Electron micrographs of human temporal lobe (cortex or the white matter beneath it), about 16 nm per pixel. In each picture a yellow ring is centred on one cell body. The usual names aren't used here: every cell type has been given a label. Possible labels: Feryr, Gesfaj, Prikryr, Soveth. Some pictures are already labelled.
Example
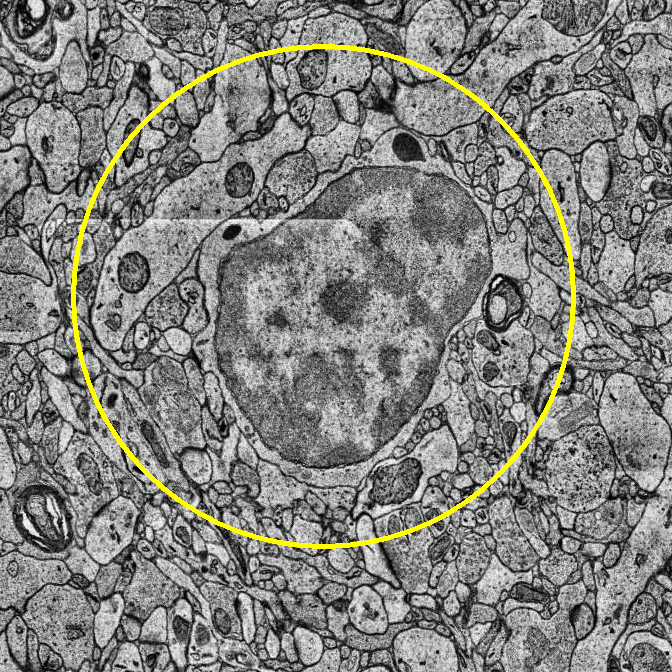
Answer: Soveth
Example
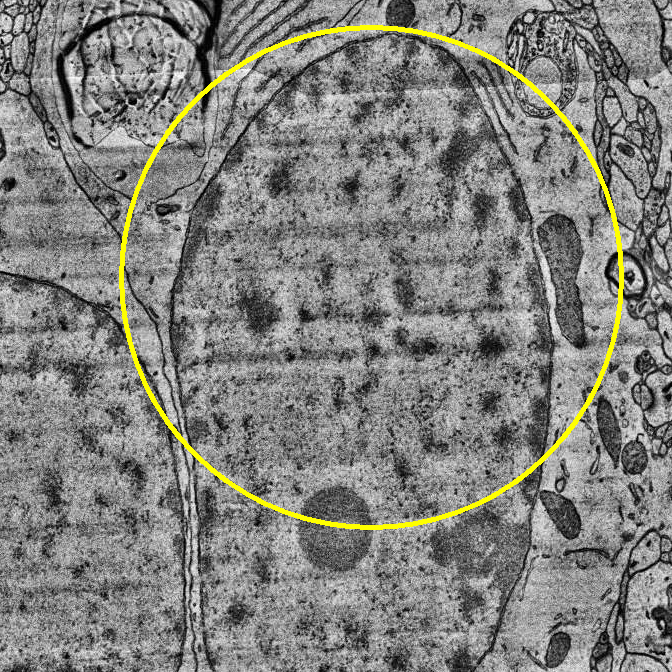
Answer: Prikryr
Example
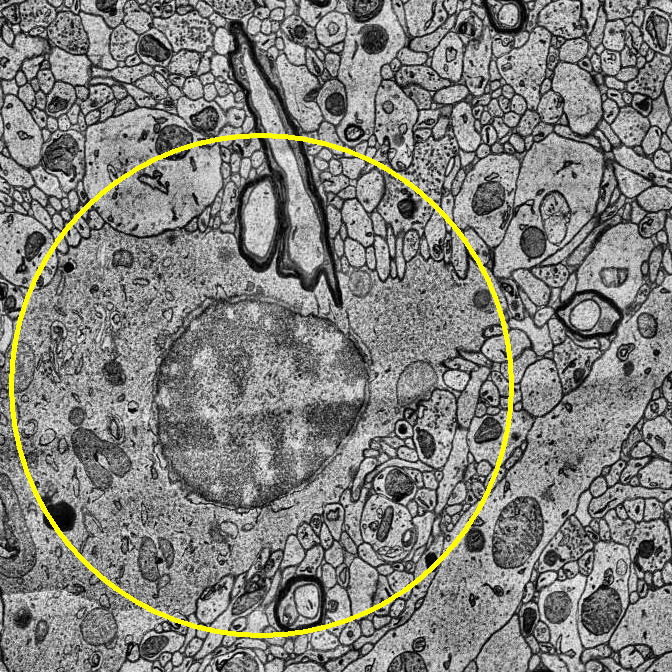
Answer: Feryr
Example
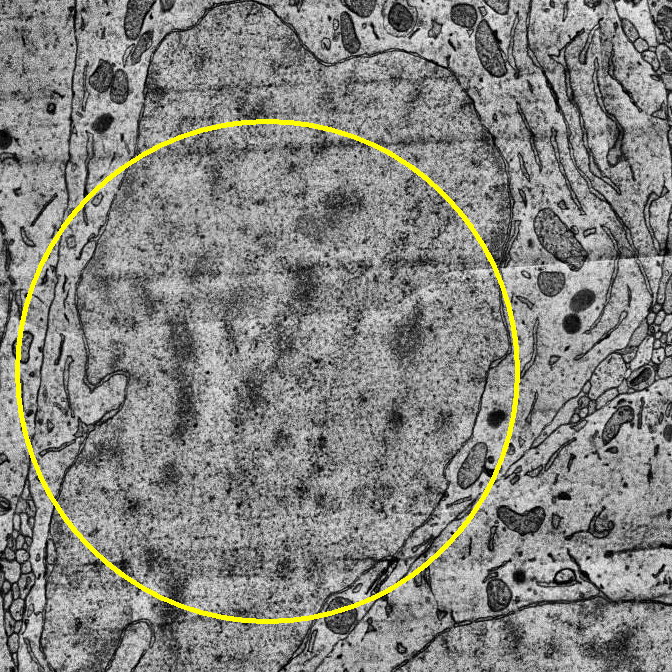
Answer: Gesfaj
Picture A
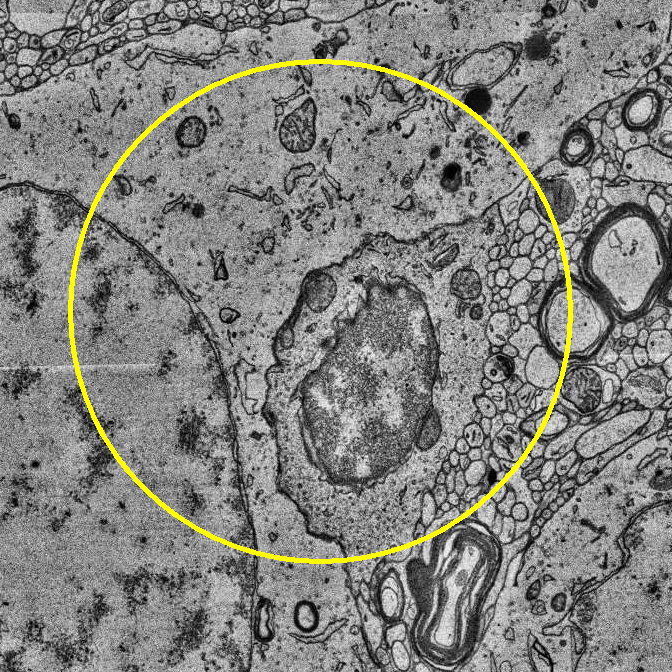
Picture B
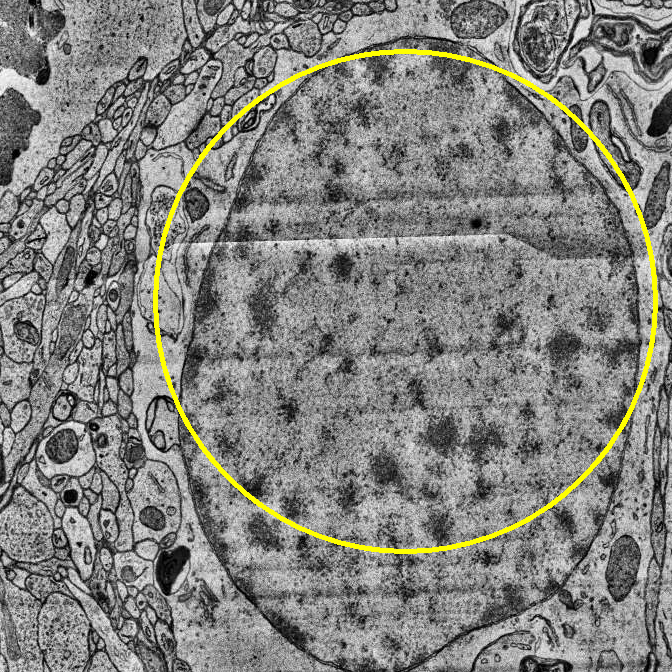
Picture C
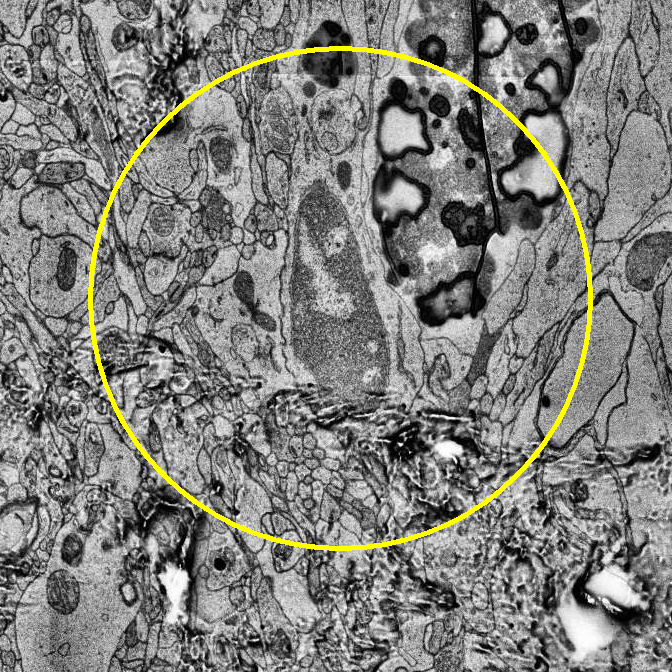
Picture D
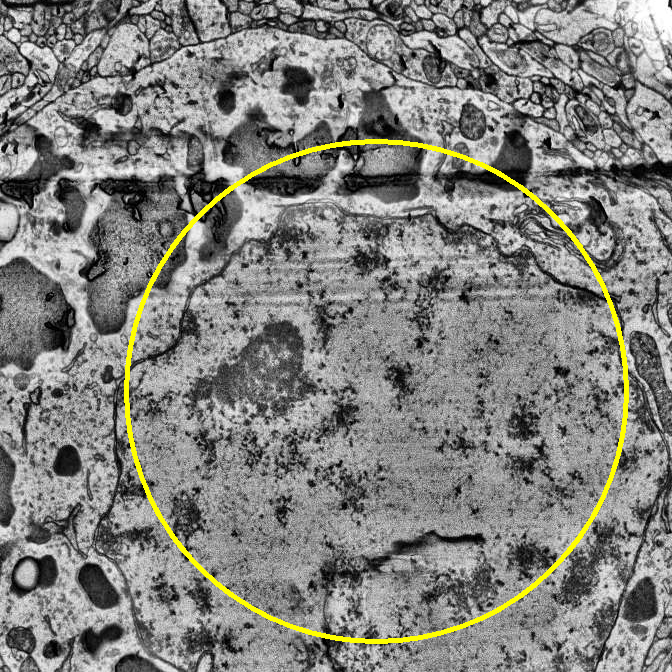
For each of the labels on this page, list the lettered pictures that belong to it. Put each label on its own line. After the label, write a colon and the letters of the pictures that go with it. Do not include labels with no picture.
Feryr: A
Gesfaj: D
Prikryr: B
Soveth: C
